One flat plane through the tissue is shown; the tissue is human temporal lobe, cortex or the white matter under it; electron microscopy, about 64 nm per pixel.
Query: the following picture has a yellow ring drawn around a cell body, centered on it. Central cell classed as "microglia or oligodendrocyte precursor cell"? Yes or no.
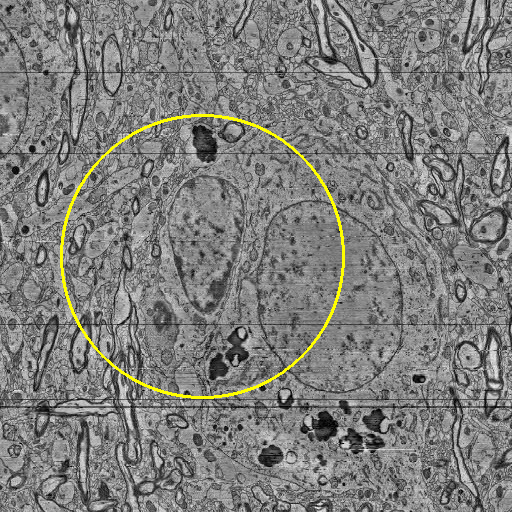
yes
